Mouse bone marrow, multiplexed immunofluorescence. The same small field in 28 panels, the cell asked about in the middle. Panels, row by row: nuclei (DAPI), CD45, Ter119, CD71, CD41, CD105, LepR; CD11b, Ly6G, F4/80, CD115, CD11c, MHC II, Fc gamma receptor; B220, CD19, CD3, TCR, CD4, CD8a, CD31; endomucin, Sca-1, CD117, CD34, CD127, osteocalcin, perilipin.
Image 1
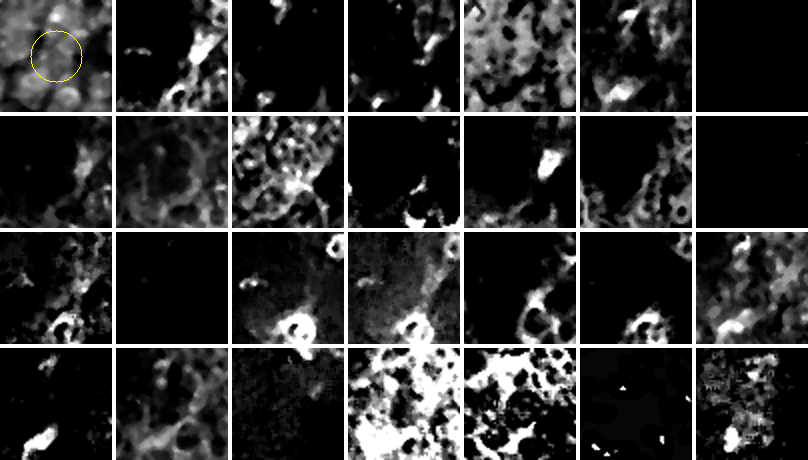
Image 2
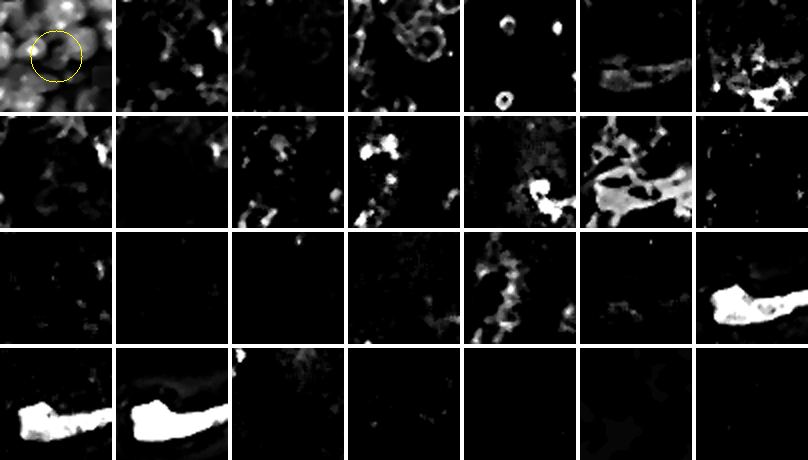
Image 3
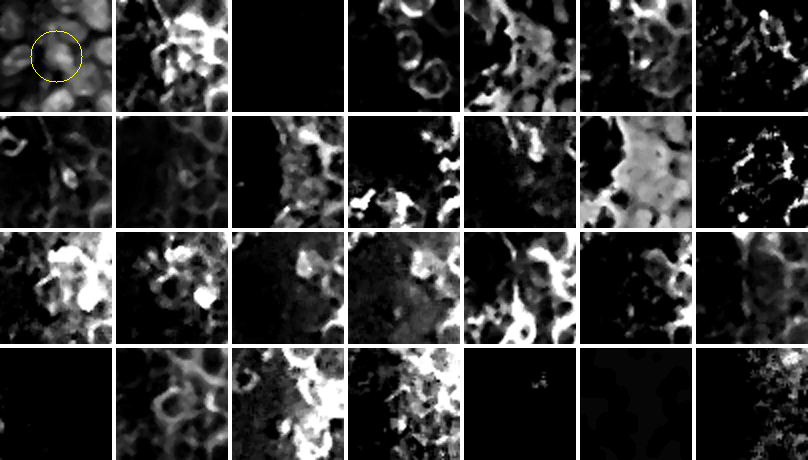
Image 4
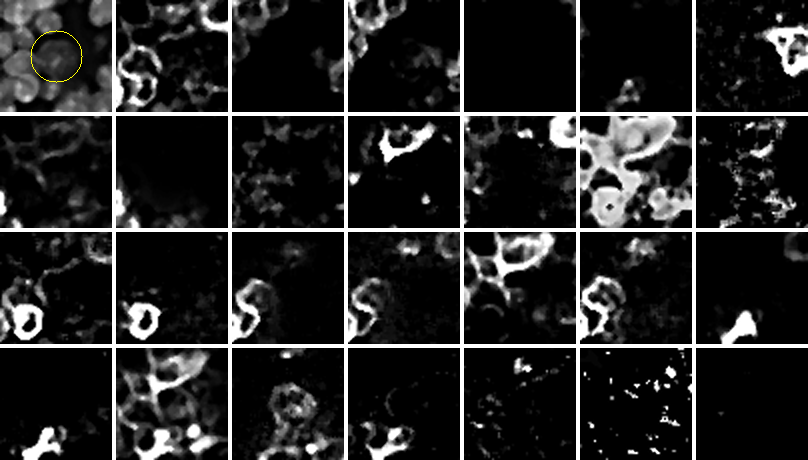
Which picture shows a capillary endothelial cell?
Picture 2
